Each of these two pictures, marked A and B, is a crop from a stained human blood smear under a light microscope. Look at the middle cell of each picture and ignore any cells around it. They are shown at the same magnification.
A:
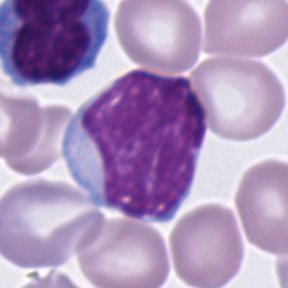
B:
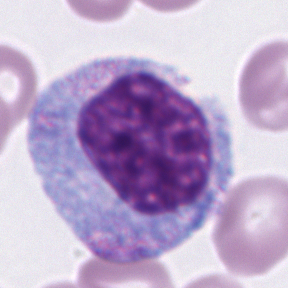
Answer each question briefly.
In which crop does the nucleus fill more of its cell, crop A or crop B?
A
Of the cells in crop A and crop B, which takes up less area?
A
